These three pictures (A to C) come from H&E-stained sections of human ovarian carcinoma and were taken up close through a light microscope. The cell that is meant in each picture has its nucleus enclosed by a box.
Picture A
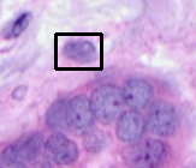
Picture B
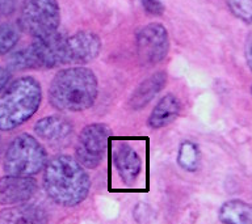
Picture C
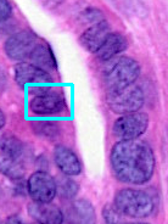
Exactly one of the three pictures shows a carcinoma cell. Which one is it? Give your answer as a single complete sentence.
It is picture C that shows the carcinoma cell.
